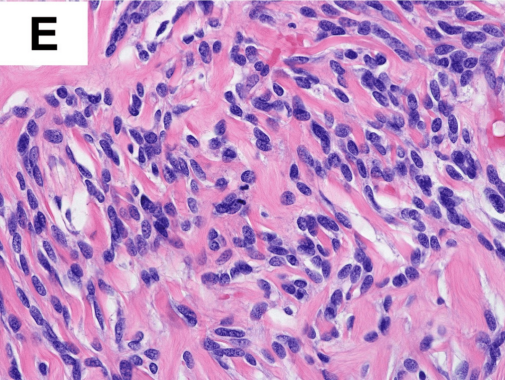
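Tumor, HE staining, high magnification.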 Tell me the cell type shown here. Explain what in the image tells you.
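Nuclei are elongated and oval to spindle-shaped. Cells are densely packed. On this evidence: spindle-shaped atypical cells.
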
